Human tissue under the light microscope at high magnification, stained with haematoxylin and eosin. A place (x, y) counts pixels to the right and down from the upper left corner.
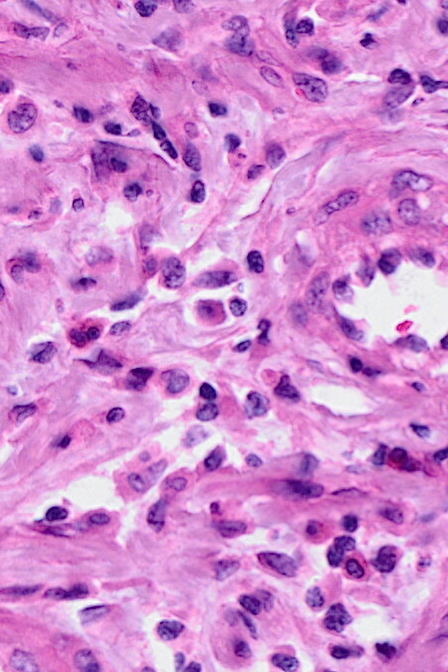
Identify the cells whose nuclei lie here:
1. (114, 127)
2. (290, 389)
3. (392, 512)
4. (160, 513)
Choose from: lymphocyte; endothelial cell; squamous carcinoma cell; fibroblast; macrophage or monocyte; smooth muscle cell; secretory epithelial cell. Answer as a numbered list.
1. lymphocyte
2. macrophage or monocyte
3. macrophage or monocyte
4. macrophage or monocyte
